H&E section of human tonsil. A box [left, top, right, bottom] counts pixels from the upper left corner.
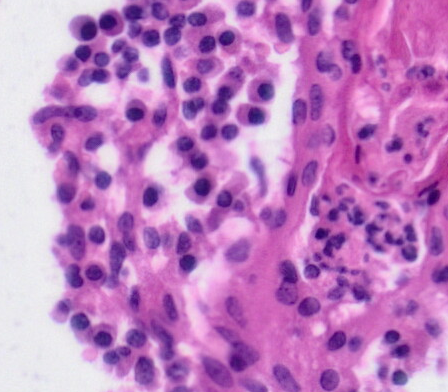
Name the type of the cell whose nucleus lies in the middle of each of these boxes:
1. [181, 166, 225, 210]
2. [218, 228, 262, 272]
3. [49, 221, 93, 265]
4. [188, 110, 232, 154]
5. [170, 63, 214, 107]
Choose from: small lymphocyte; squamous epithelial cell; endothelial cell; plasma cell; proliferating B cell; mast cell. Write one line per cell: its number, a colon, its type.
1: plasma cell
2: squamous epithelial cell
3: squamous epithelial cell
4: plasma cell
5: plasma cell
